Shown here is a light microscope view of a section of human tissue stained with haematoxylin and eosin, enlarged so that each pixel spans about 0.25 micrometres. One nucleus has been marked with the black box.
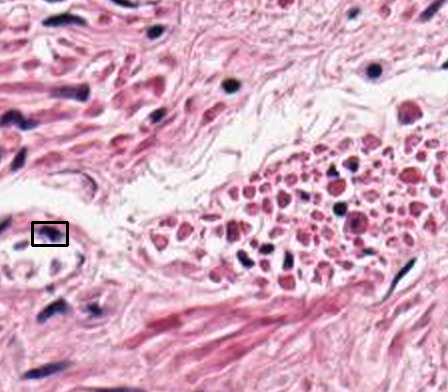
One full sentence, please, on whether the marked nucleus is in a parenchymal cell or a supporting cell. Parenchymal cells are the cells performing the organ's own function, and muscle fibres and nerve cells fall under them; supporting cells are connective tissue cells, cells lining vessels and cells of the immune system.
The marked nucleus is located within a supporting cell.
